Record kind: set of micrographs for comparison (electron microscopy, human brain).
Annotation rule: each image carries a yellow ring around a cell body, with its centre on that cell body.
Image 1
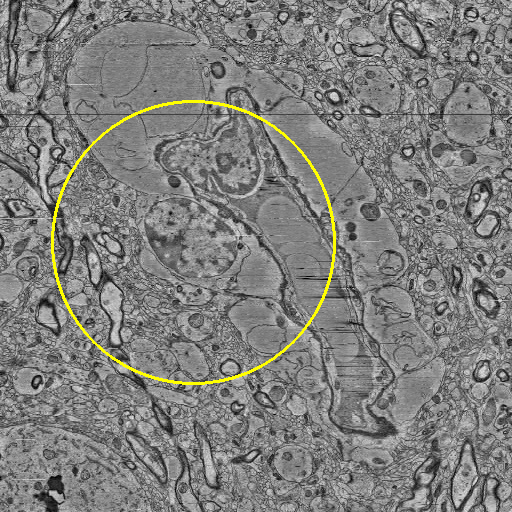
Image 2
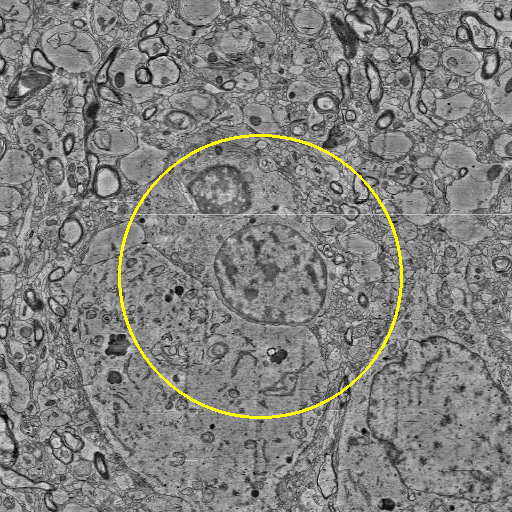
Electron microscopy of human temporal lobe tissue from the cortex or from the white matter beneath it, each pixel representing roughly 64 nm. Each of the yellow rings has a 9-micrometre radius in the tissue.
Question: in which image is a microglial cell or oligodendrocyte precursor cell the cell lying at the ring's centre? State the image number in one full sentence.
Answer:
In image 1, the ring is centred on the cell in question.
